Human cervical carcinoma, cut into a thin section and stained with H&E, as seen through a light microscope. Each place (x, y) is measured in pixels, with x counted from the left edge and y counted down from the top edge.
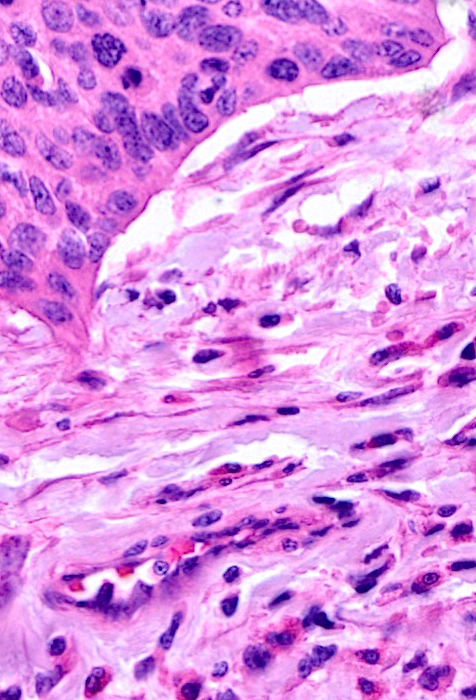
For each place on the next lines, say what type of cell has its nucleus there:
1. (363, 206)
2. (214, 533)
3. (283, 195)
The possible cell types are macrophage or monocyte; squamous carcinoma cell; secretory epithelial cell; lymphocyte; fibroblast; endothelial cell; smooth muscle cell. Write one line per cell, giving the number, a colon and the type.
1: fibroblast
2: endothelial cell
3: fibroblast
